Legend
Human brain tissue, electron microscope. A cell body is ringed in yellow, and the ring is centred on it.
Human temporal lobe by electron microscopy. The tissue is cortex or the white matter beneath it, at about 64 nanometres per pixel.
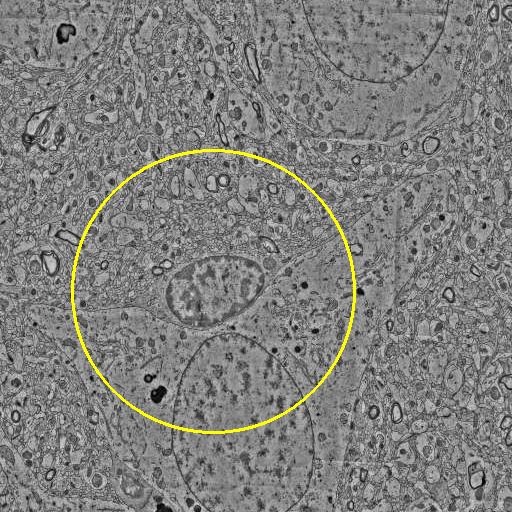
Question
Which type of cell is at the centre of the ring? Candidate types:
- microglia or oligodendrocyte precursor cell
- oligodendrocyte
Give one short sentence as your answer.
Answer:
The yellow ring is centred here on an oligodendrocyte.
